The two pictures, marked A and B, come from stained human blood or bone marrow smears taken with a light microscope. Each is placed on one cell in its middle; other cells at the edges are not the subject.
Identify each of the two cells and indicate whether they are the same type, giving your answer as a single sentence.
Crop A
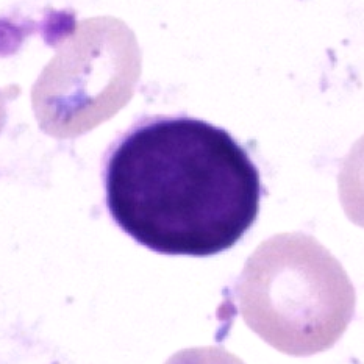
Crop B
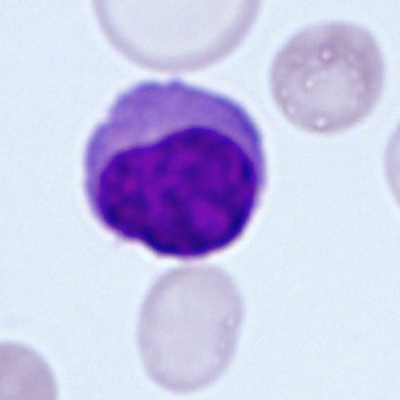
Yes, in short, both crops show lymphocytes.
